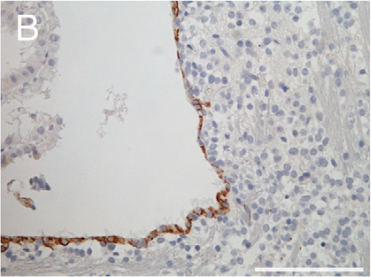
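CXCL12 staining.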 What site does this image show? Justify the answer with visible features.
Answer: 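A large empty cavity lined by a thin brown-stained cell layer. Densely packed small nuclei in the tissue beside the lining.
Answer: subventricular zone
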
